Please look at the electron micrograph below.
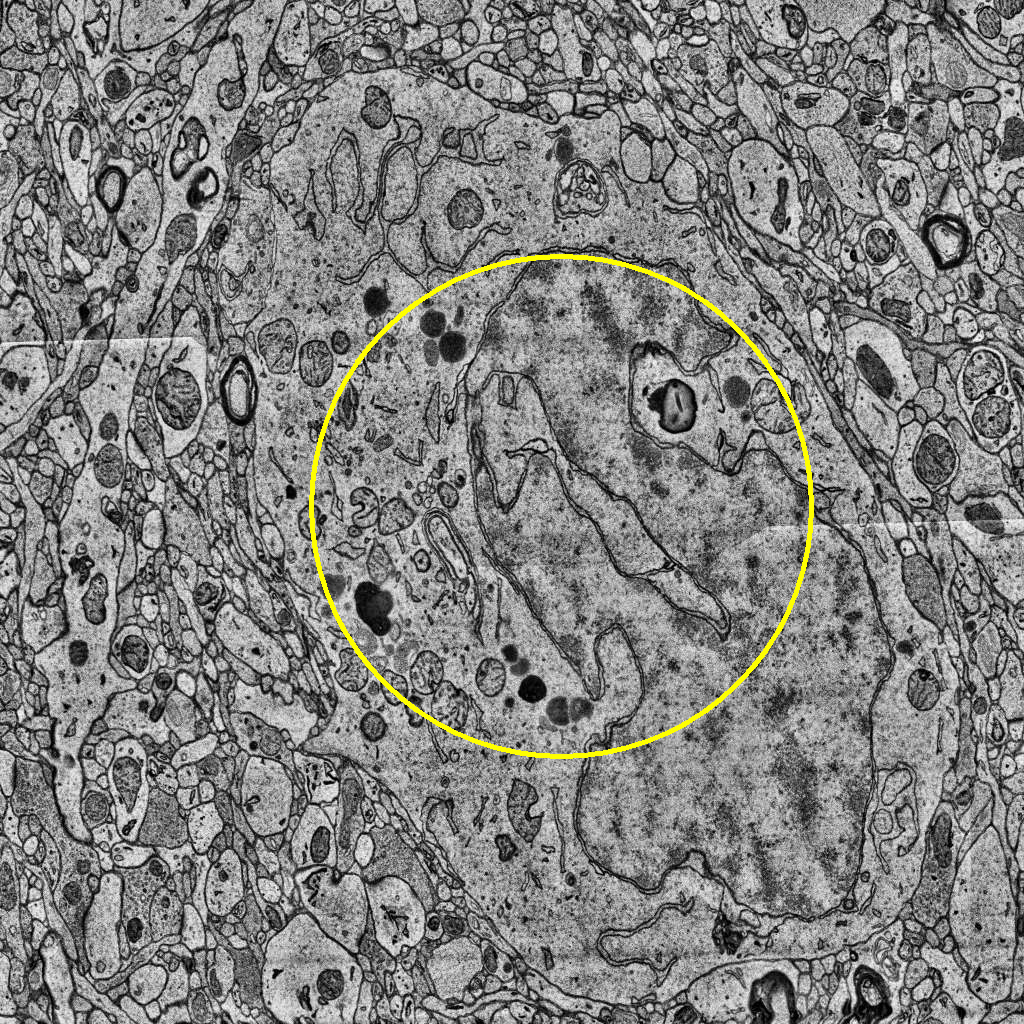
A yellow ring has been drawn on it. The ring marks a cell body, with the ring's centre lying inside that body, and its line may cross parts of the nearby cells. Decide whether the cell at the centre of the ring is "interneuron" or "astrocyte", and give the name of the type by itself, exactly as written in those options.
interneuron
